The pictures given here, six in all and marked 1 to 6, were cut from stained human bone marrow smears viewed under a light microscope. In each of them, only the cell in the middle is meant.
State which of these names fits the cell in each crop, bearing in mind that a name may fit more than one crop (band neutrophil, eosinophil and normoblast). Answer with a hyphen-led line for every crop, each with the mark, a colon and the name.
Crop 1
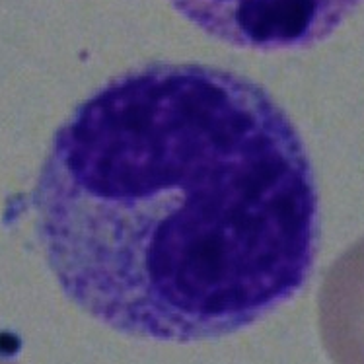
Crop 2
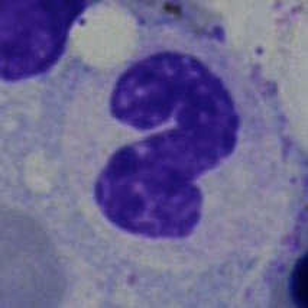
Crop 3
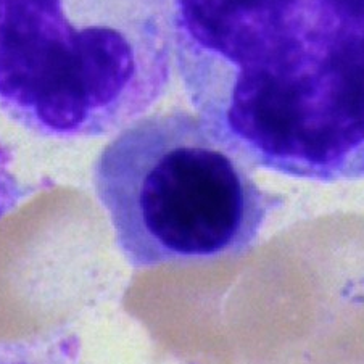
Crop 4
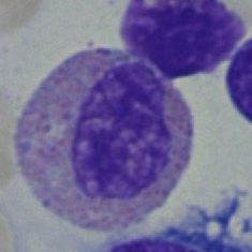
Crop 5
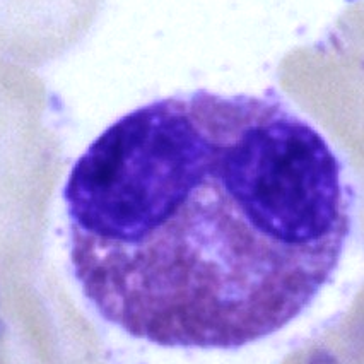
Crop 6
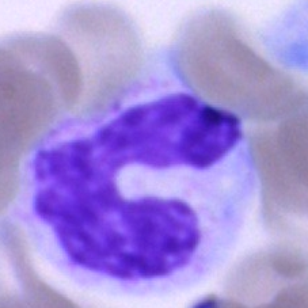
- 1: band neutrophil
- 2: band neutrophil
- 3: normoblast
- 4: eosinophil
- 5: eosinophil
- 6: band neutrophil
